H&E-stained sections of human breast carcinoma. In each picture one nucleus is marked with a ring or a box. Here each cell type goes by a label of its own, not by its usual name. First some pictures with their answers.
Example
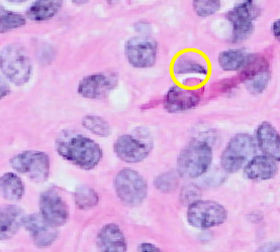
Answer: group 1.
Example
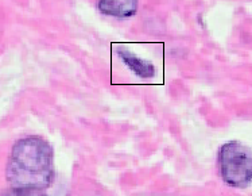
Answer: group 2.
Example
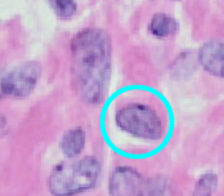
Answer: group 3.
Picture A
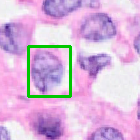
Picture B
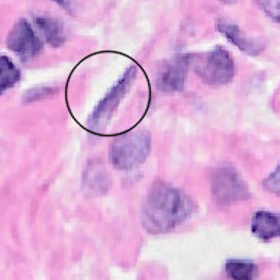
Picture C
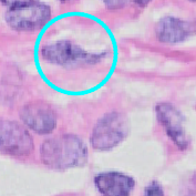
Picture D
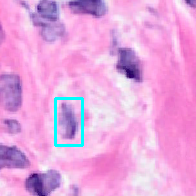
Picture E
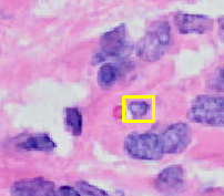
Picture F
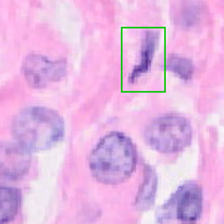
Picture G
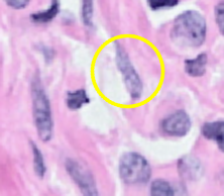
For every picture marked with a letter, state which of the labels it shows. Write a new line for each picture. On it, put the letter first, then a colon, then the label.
A: group 3.
B: group 2.
C: group 2.
D: group 2.
E: group 1.
F: group 2.
G: group 2.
